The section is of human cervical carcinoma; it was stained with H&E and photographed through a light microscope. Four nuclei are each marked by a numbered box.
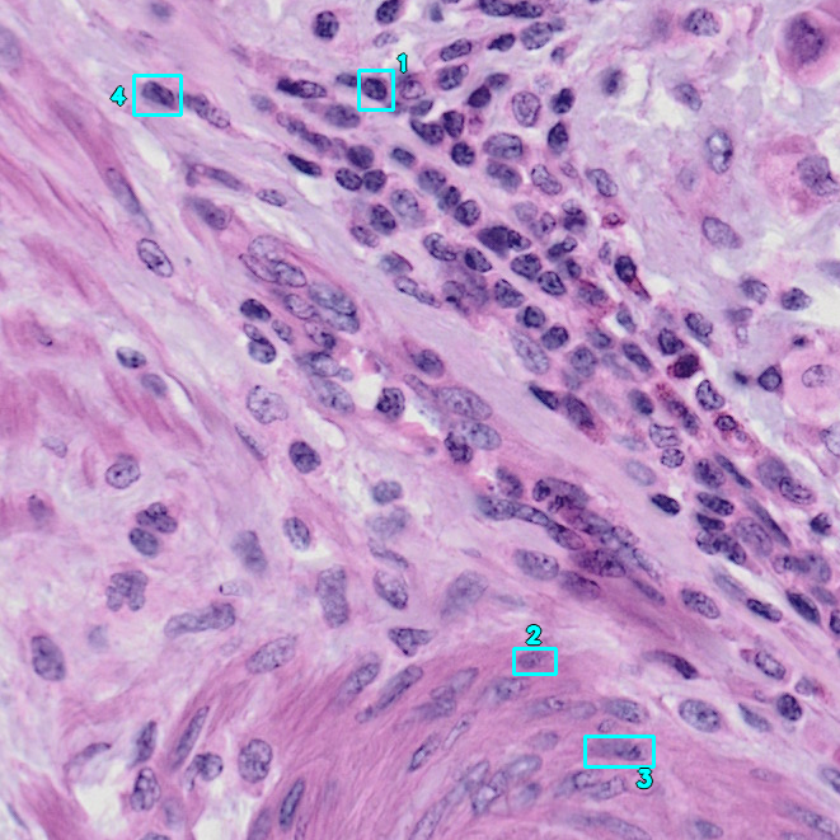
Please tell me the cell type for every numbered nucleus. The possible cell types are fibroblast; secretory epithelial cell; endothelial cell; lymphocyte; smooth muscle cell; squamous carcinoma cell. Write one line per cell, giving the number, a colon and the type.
1: lymphocyte
2: smooth muscle cell
3: smooth muscle cell
4: lymphocyte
